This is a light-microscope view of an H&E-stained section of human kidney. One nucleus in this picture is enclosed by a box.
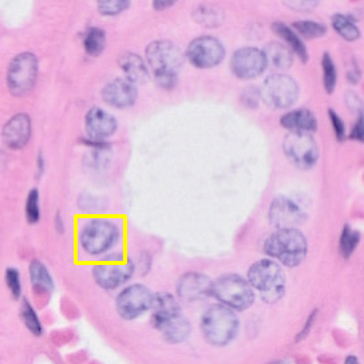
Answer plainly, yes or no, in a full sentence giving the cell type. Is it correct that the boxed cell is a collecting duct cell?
Yes, the boxed cell is a collecting duct cell by cell type.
